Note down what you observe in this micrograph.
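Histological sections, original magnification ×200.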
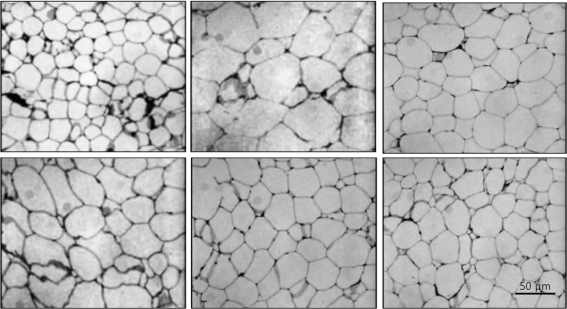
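These are sections of white adipose tissue made up almost entirely of adipocytes, each seen as a large pale, empty-looking polygonal to rounded profile outlined by a thin dark rim. The cells are packed tightly against one another with little tissue in between. Their sizes differ markedly from one image to another, with some fields holding many small cells and others dominated by very large ones.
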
